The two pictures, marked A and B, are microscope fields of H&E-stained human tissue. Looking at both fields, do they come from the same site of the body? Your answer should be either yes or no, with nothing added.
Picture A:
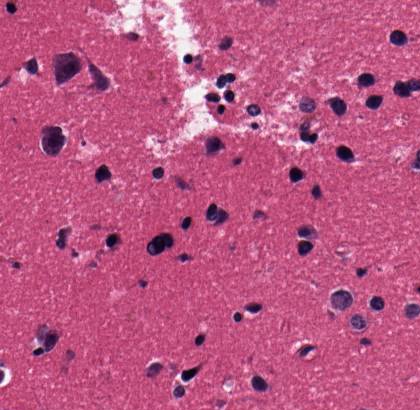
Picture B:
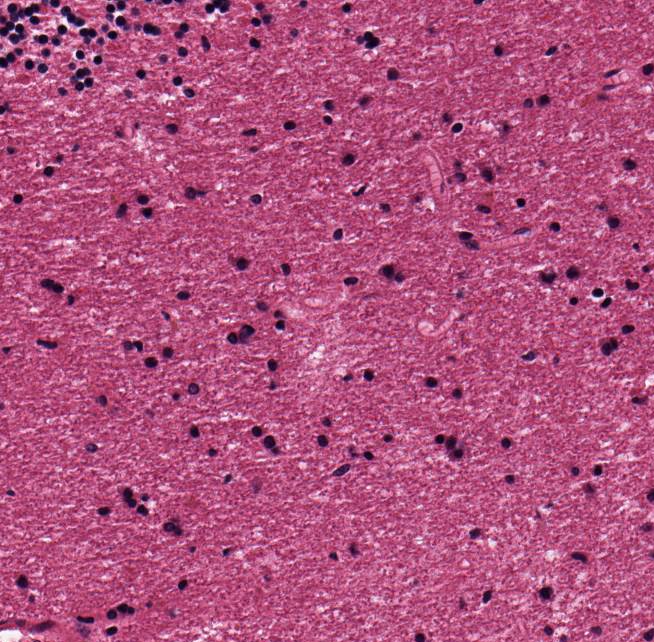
no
